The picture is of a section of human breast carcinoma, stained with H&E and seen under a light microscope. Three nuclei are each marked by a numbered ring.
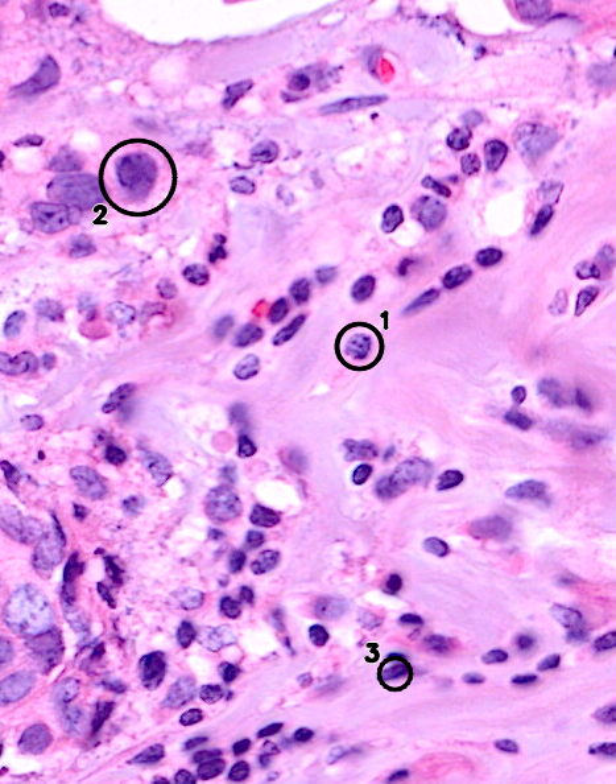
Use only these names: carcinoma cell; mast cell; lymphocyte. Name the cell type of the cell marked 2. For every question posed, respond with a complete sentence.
Among the marked cells, number 2 is a carcinoma cell.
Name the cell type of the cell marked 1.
The correct label for cell 1 is a mast cell.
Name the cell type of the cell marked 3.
The cell that goes by number 3 is a lymphocyte.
